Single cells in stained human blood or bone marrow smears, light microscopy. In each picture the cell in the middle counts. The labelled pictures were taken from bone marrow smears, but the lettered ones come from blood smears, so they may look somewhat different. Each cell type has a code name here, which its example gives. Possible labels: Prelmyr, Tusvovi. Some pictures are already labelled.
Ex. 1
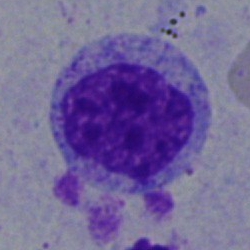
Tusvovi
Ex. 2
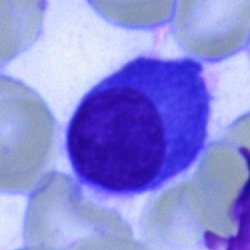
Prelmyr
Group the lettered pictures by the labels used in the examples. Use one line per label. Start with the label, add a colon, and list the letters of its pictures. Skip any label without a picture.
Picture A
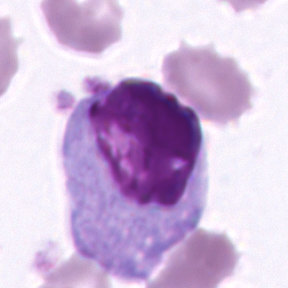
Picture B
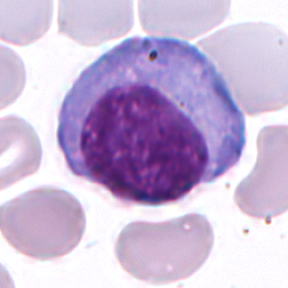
Prelmyr: A, B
